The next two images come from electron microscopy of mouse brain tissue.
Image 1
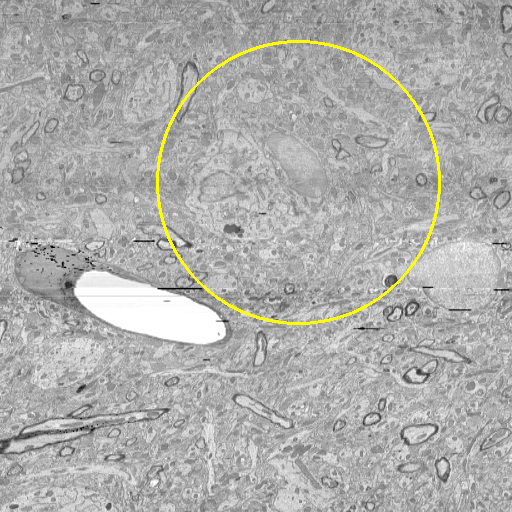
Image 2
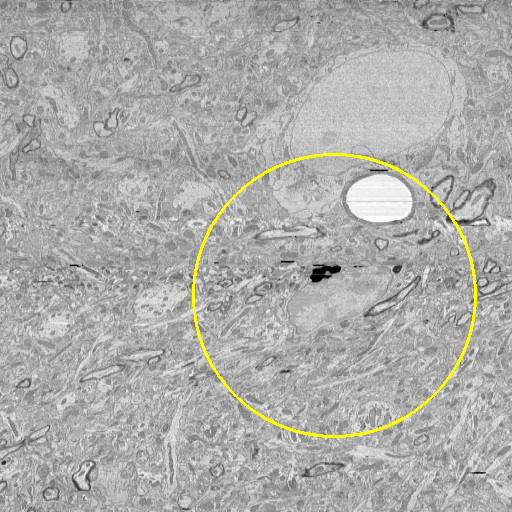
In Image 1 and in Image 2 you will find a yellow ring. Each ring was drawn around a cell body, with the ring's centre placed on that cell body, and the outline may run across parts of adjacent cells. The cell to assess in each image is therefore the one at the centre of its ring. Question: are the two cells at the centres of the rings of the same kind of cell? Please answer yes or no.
yes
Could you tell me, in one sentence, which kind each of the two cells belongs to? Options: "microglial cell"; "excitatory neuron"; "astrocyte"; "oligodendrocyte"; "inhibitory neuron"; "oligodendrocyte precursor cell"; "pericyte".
In each picture the ringed cell is a microglial cell.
